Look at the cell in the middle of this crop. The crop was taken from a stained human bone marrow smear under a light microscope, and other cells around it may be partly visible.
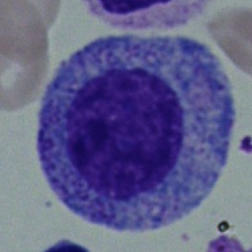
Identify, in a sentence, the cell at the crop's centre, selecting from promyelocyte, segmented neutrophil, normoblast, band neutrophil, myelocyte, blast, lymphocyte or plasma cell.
Centred in the crop is a promyelocyte.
